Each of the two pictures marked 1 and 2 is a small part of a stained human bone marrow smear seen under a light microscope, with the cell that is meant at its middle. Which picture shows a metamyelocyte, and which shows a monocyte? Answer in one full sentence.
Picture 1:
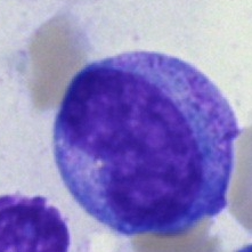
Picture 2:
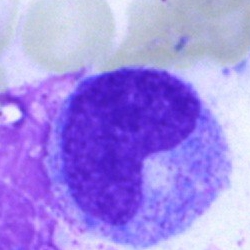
The cell in picture 1 is a monocyte, and the one in picture 2 is a metamyelocyte.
